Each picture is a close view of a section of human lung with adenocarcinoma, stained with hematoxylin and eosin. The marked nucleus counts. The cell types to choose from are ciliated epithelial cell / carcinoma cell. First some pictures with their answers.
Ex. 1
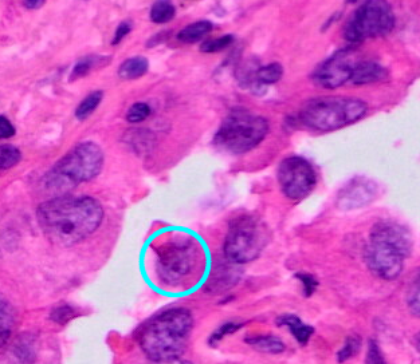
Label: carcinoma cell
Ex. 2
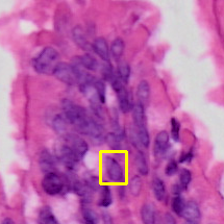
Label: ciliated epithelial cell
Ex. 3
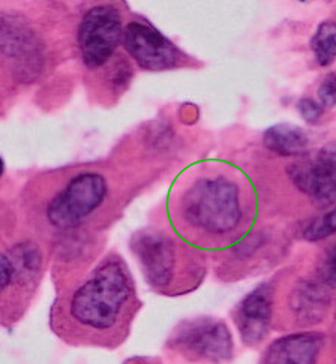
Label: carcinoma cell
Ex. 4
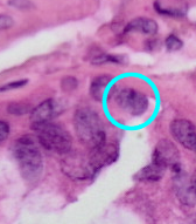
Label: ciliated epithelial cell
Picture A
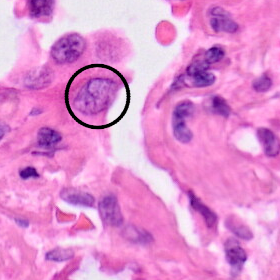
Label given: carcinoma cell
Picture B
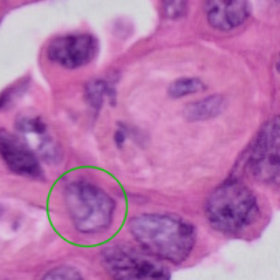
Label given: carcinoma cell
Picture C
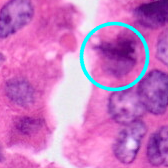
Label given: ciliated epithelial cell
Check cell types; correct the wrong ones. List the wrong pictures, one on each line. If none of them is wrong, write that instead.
C is labelled ciliated epithelial cell; correct label: carcinoma cell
